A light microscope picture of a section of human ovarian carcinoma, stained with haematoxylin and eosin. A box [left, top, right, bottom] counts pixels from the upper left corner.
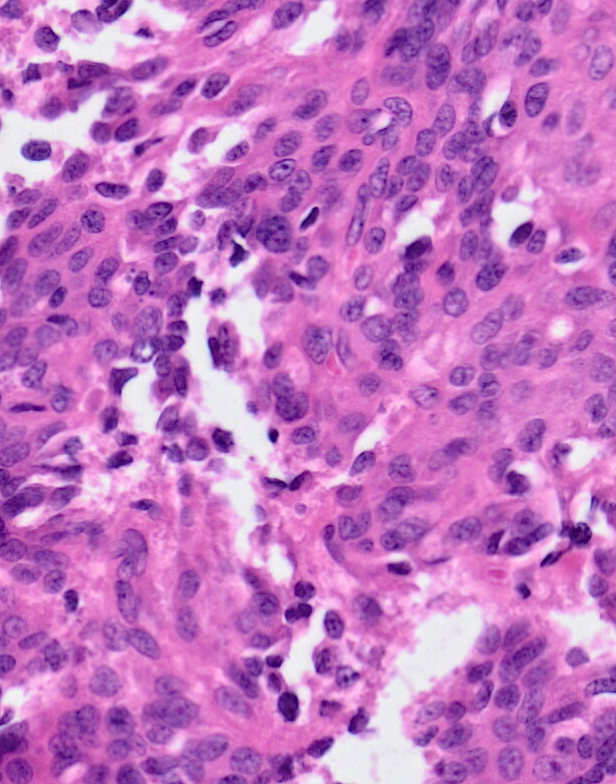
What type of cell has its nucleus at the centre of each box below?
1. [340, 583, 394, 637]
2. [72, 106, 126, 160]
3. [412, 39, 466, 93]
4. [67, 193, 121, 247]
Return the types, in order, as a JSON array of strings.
["carcinoma cell", "carcinoma cell", "carcinoma cell", "macrophage or monocyte"]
